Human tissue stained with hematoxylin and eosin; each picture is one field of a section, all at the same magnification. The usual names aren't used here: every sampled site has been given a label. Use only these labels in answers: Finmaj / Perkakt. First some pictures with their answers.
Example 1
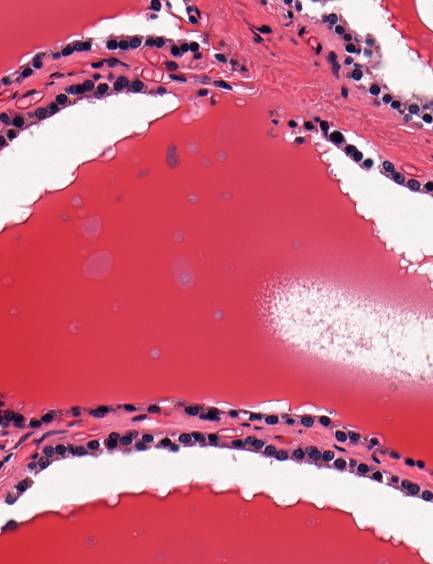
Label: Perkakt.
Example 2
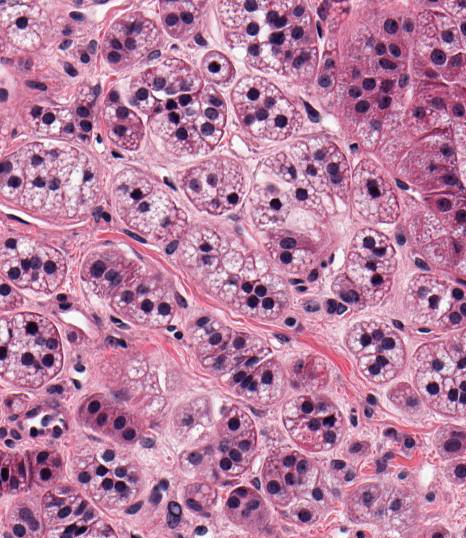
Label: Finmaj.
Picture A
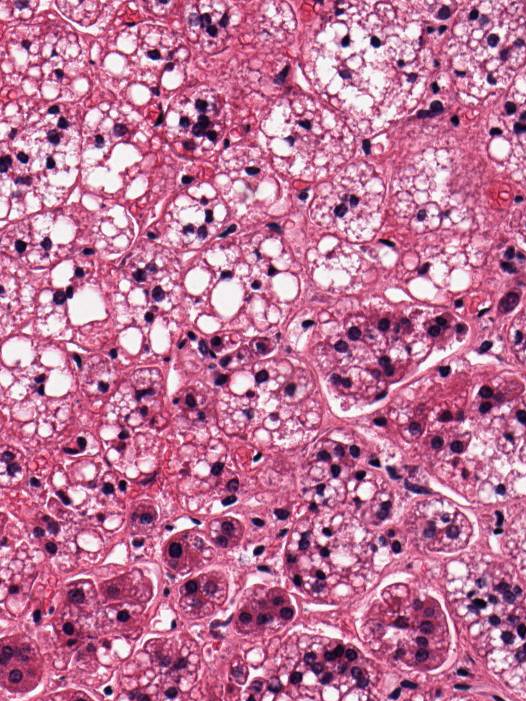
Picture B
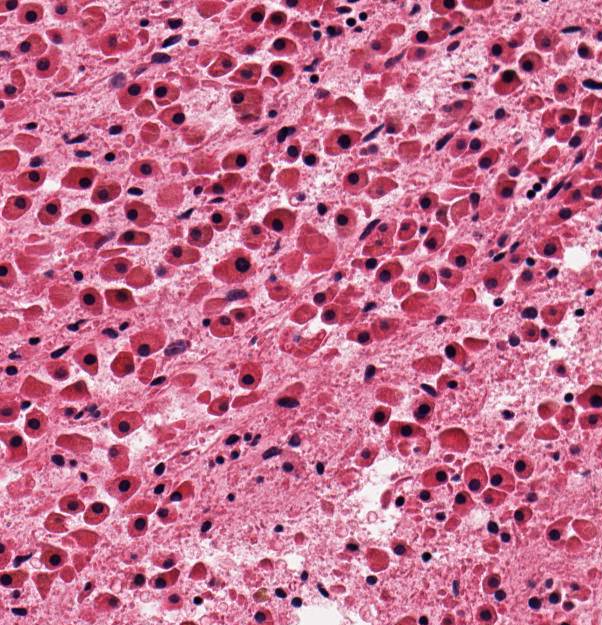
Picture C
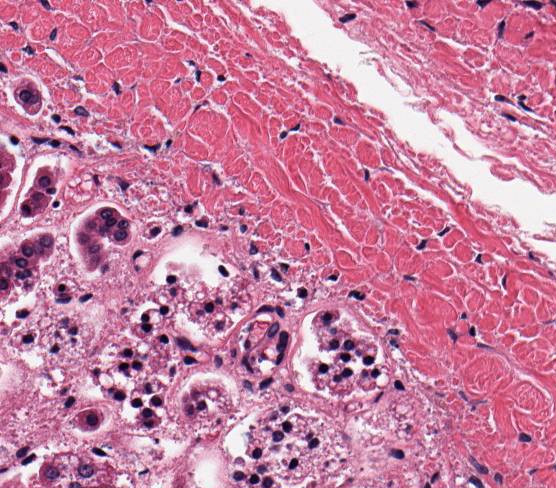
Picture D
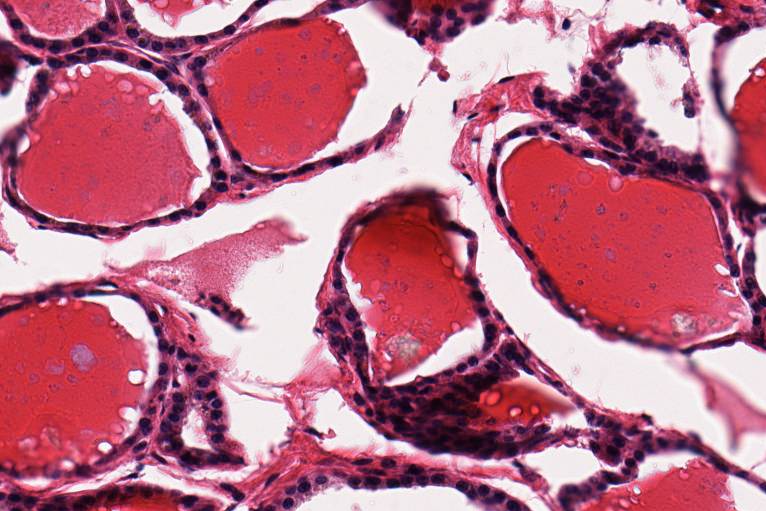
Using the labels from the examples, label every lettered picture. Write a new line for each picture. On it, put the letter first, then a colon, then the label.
A: Finmaj.
B: Finmaj.
C: Finmaj.
D: Perkakt.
